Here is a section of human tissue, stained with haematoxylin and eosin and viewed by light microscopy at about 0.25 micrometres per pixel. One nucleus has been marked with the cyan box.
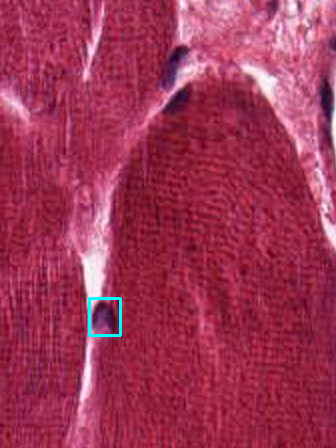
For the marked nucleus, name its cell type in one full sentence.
In the section shown, the marked nucleus belongs to a skeletal muscle fibre.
